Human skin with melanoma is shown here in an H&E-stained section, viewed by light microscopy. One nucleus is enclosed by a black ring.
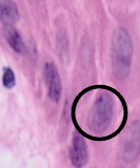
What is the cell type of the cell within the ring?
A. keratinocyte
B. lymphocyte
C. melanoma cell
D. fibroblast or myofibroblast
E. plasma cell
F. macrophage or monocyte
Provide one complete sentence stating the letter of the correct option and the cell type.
Option A is the one that fits, as the cell within the ring is a keratinocyte.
